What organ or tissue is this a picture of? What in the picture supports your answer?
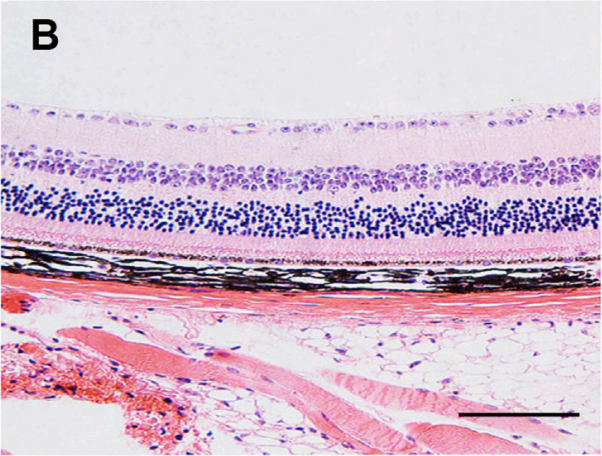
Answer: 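Retina. Layered tissue with two distinct bands of purple-stained nuclei. A thin row of nuclei at the inner surface and a black pigmented band at the outer side.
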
